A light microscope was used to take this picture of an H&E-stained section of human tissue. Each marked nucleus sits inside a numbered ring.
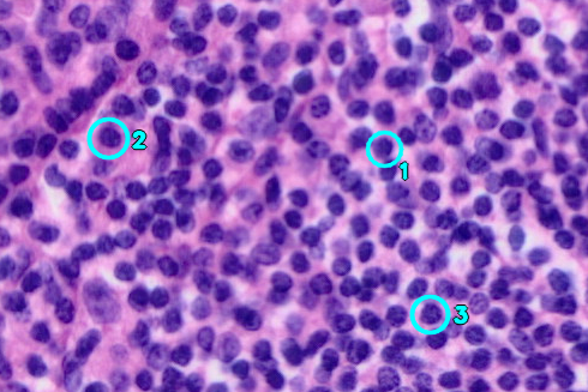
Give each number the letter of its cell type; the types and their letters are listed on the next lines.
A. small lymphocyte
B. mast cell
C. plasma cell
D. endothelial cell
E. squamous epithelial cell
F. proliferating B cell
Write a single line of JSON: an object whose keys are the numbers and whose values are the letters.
{"1": "A", "2": "C", "3": "A"}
